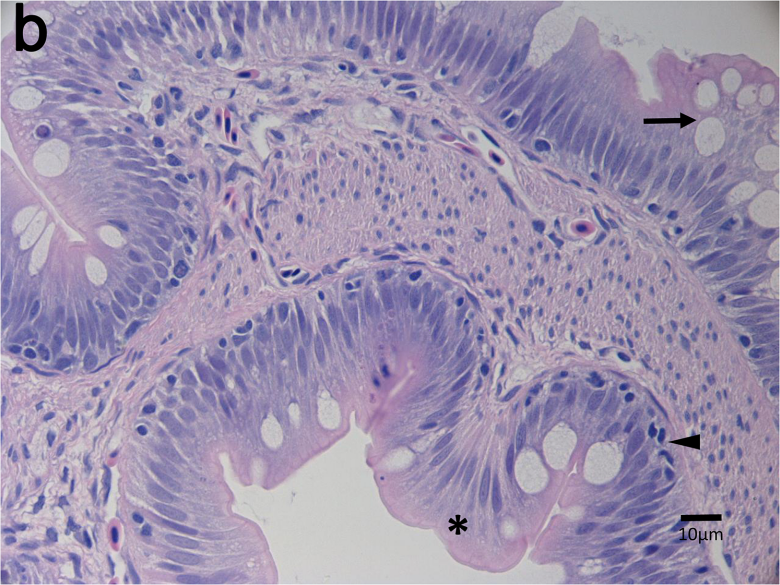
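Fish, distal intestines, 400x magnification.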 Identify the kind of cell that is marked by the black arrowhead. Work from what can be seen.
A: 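A small, dark, round nucleus sits at the base of the epithelium next to the lamina propria. It is smaller and denser than the neighbouring elongated epithelial nuclei. So: intraepithelial lymphocytes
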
